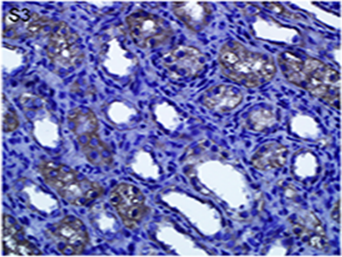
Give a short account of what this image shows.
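Kidney tissue with rounded tubular profiles whose lining cells show brown cytoplasm around blue nuclei, several with pale, vacuolated centres. Many lumina are dilated and empty, and the interstitium between tubules holds scattered blue nuclei.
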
